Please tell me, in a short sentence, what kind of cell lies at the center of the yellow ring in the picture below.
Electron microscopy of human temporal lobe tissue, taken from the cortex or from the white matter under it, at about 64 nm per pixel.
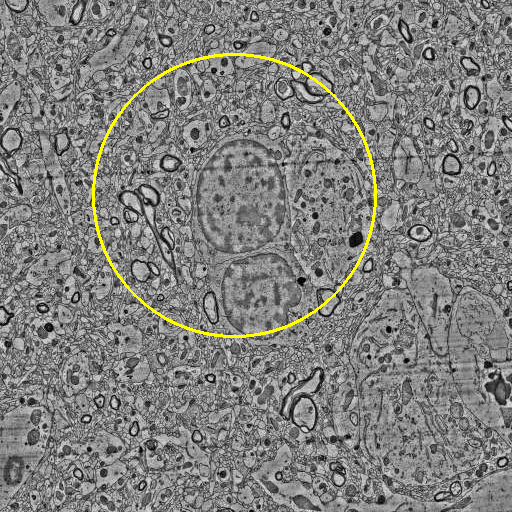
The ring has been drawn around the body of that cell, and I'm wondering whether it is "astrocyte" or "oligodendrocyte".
The cell at the center of the ring is an oligodendrocyte.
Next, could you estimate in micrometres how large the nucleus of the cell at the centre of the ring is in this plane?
The ringed cell's nucleus measures approximately 7 by 6 micrometres in this plane.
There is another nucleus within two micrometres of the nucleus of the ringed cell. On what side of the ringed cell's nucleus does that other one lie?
The other one is below it.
